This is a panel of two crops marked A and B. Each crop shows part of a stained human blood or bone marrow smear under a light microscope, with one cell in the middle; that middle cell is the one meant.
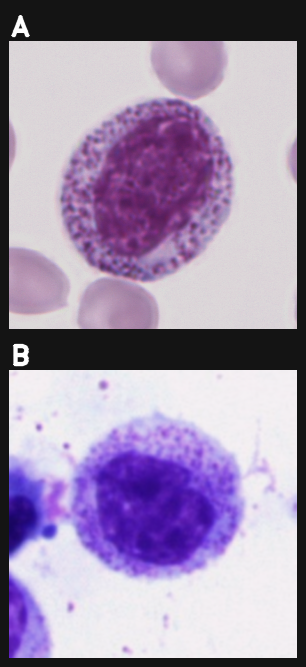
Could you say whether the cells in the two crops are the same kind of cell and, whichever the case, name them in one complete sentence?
Yes, both crops show myelocytes, each crop centred on one of them.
